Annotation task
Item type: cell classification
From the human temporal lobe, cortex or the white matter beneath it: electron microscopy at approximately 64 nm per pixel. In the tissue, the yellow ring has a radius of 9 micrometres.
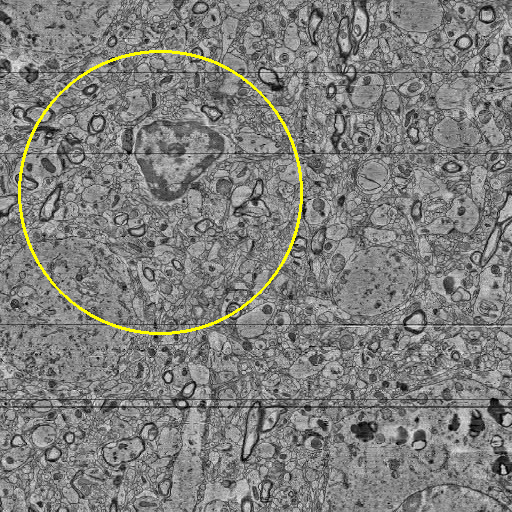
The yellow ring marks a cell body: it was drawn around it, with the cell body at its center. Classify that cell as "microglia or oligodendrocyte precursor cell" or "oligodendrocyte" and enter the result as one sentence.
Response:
The ring's center falls on a microglial cell or oligodendrocyte precursor cell.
